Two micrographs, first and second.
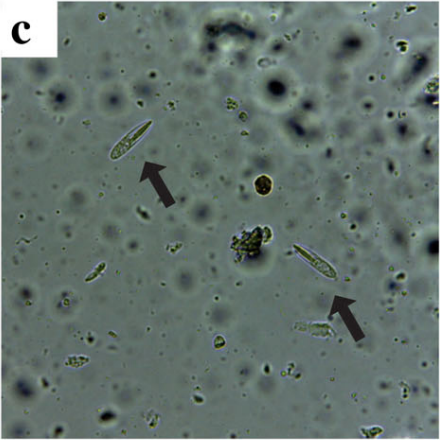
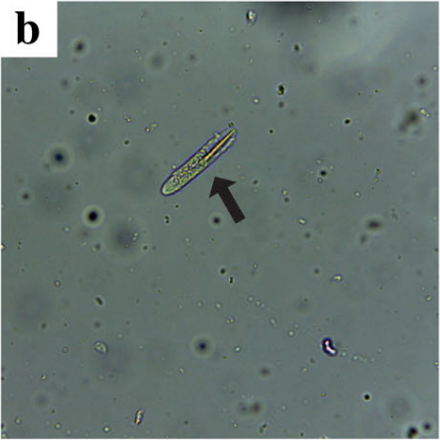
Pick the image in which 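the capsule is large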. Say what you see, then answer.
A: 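First image: the marked capsules are short and narrow. Second image: the marked capsule is clearly longer and wider. That points to this answer: the second image.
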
